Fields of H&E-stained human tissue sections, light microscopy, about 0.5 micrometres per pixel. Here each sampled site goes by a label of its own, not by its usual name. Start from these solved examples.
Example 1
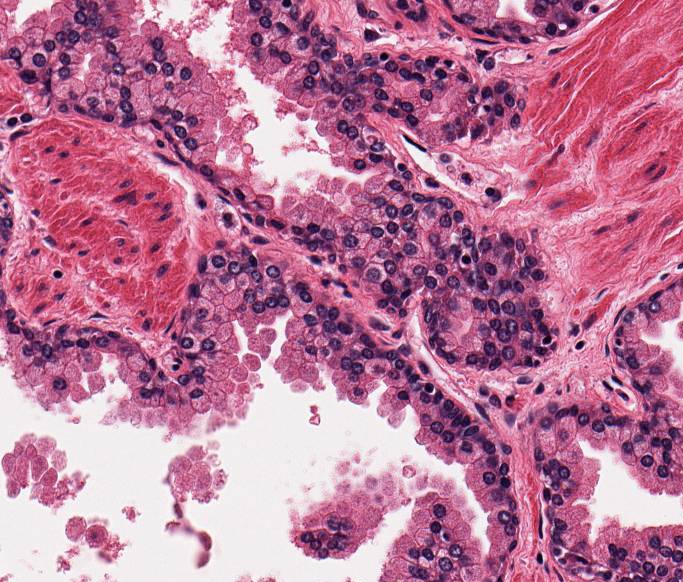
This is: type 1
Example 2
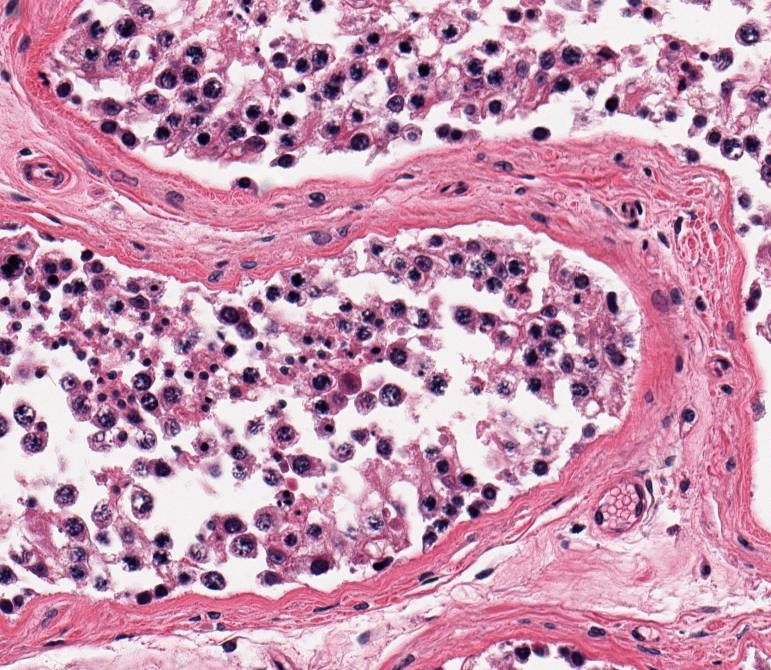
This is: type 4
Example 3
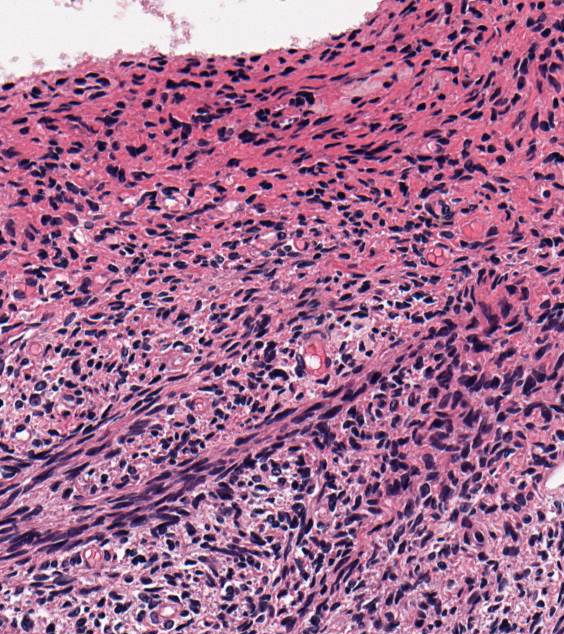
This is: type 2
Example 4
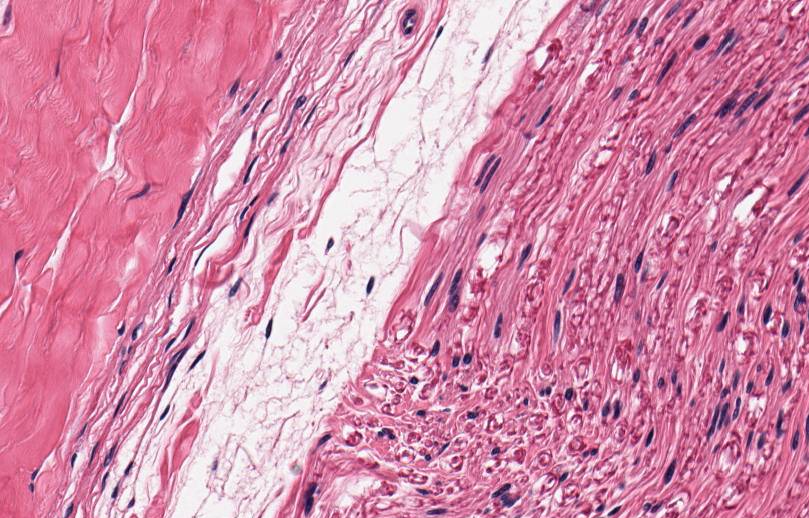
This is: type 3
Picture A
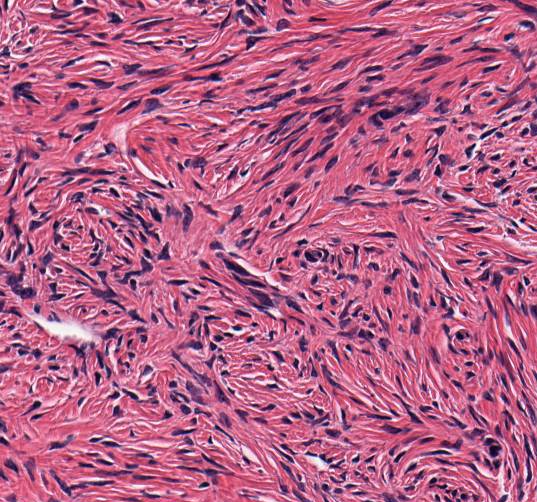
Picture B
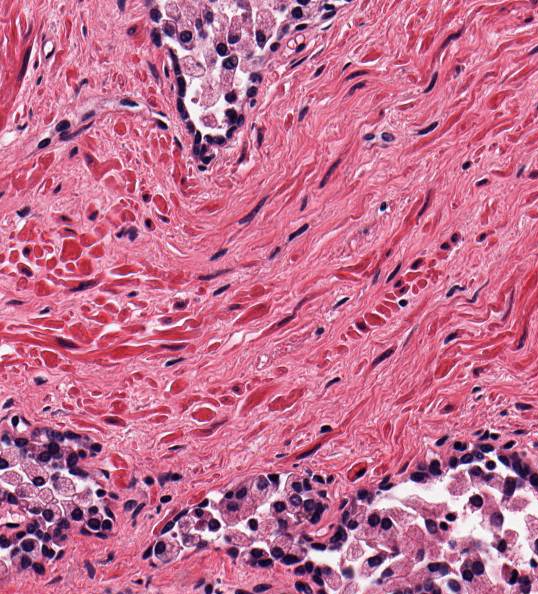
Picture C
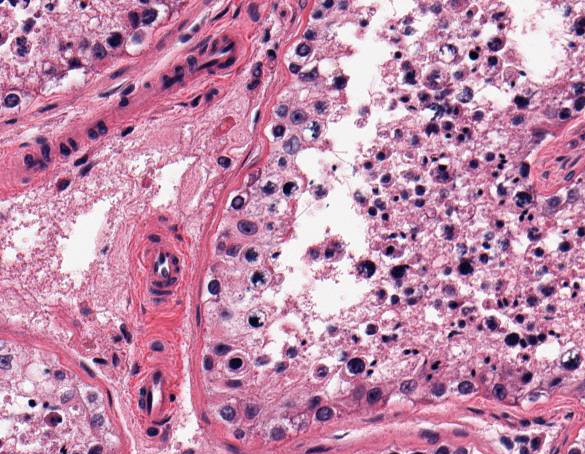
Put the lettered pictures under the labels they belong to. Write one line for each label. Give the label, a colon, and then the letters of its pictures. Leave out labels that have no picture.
type 1: B
type 4: C
type 2: A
